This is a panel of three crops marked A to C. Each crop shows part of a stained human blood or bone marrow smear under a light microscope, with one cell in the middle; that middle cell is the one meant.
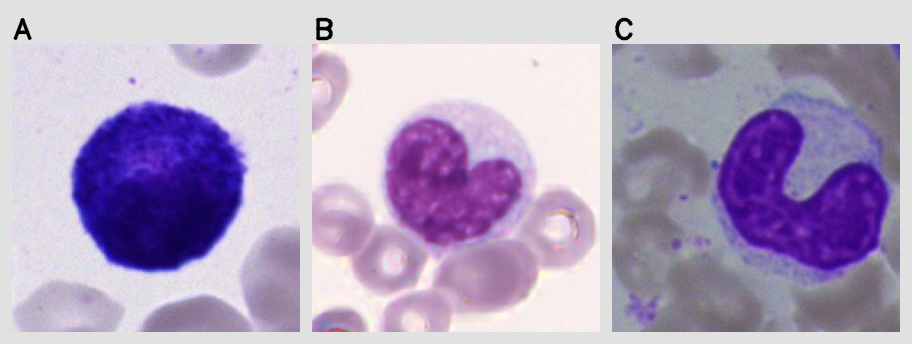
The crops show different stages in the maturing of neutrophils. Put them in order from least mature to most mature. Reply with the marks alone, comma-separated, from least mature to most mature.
A, B, C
